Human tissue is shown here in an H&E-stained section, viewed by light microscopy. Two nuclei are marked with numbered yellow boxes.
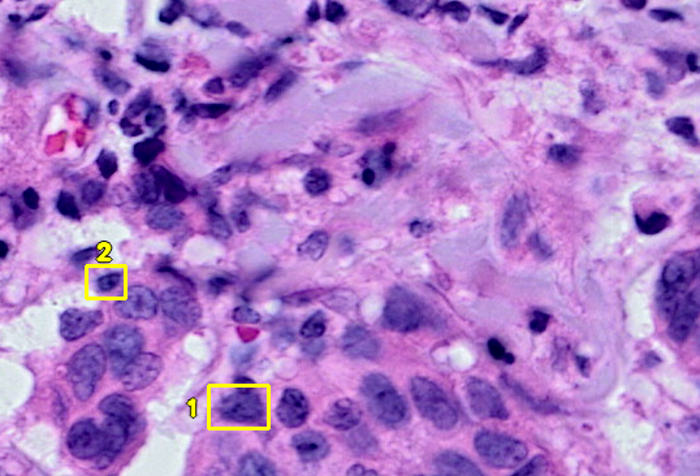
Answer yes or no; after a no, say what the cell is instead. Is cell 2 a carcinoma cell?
No, it is a lymphocyte.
